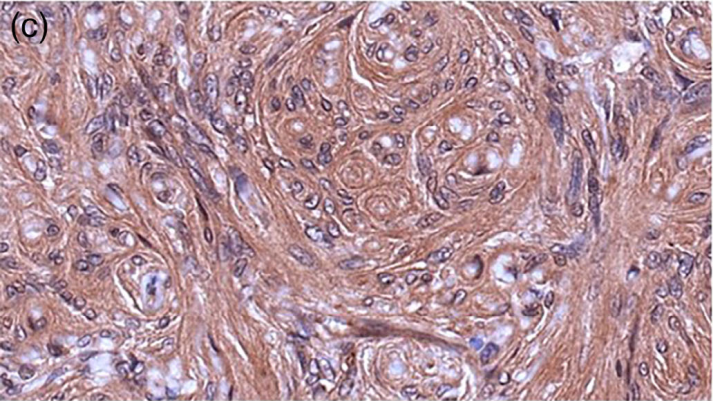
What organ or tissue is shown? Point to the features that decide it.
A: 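Spindle to oval cells are wrapped in concentric whorls. Nuclei are oval and fairly uniform. Cells lie in lobules and streams between the whorls. That points to this answer: meningioma.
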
